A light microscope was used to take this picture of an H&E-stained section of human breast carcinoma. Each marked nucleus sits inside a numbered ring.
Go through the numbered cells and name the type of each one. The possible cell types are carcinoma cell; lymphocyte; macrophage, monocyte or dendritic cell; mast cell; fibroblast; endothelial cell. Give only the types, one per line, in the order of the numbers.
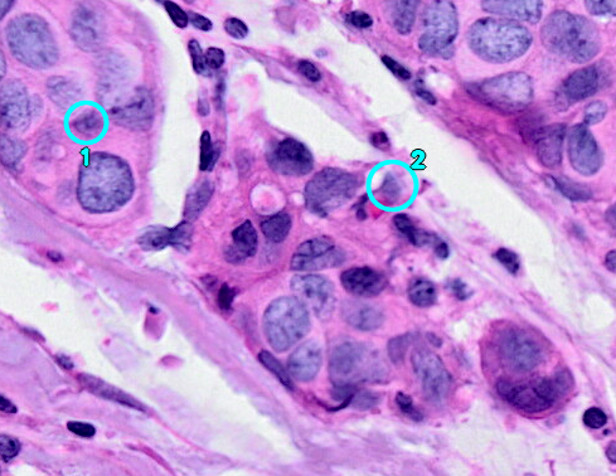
carcinoma cell
endothelial cell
